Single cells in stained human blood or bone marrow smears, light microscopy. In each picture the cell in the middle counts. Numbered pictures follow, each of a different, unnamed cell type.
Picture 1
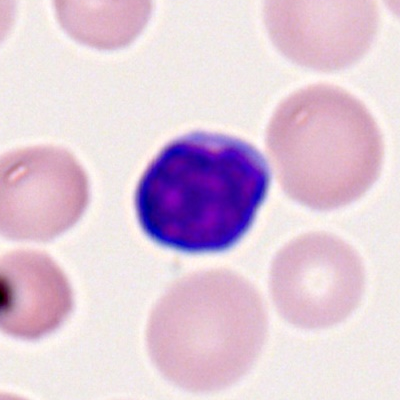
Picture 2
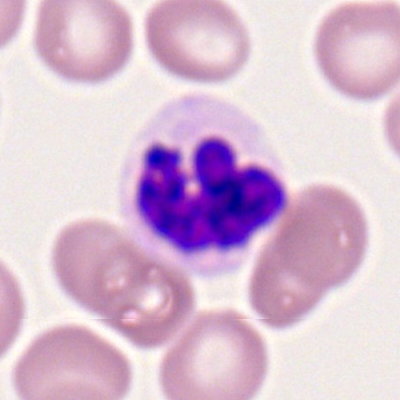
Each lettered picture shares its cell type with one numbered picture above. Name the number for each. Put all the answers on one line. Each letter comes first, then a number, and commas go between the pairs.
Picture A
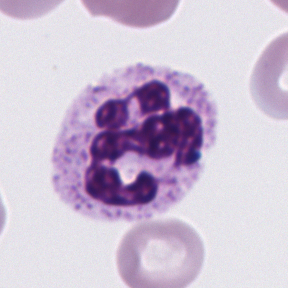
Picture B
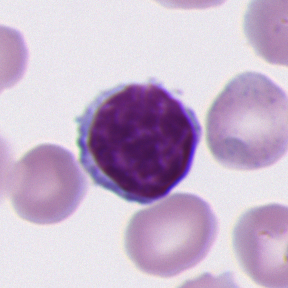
A 2, B 1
